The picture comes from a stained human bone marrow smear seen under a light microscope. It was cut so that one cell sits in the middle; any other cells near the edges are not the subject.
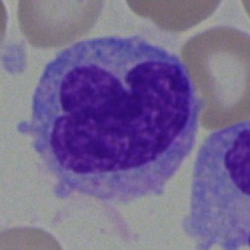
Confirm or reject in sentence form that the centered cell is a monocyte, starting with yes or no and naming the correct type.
Yes, in the centre of this field sits a monocyte.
